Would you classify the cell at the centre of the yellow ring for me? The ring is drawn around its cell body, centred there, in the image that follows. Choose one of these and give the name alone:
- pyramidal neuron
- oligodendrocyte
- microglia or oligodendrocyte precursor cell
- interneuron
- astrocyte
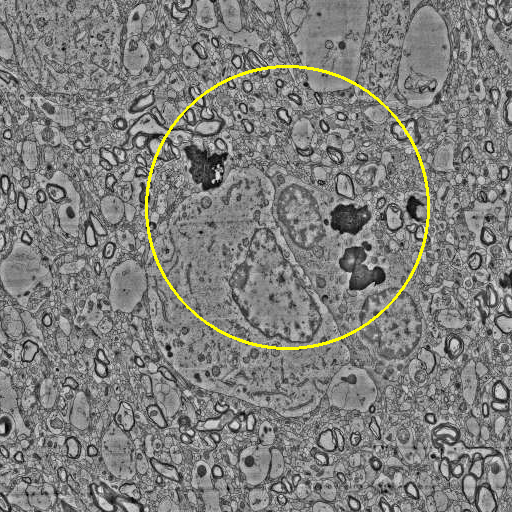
oligodendrocyte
